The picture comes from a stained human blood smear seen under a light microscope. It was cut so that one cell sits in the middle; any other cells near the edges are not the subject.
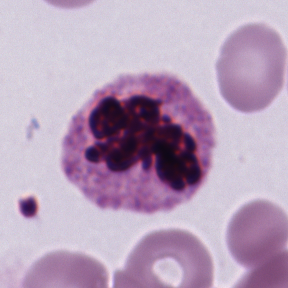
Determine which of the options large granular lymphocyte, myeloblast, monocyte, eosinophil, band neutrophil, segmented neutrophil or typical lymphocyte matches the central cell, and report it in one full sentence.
In the center of this field lies a segmented neutrophil.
